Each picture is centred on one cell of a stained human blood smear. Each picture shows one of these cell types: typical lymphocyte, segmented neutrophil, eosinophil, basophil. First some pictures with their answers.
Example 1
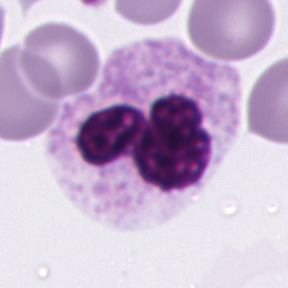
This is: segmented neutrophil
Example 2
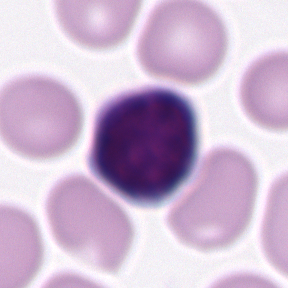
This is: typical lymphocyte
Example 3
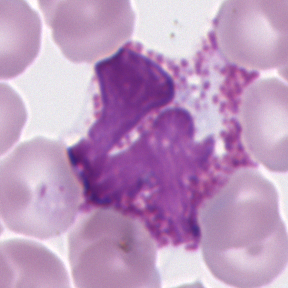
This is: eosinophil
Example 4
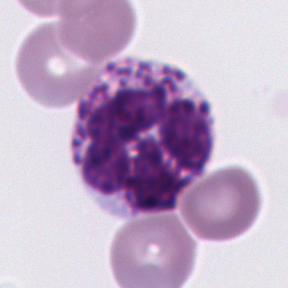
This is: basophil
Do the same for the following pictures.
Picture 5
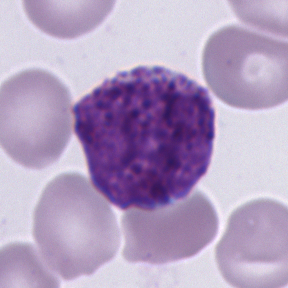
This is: basophil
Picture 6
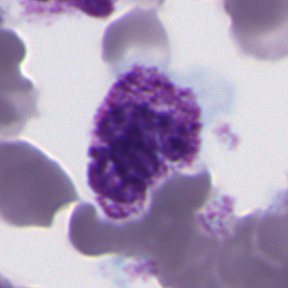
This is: basophil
